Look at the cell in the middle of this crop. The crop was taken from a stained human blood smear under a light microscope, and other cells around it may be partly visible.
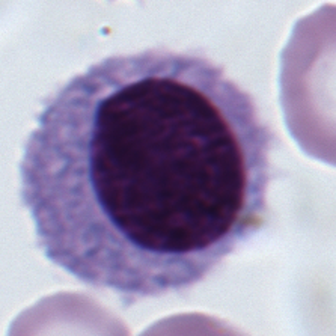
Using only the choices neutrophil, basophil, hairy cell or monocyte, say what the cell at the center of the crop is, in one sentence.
The cell marked by its central position in the crop is a hairy cell.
